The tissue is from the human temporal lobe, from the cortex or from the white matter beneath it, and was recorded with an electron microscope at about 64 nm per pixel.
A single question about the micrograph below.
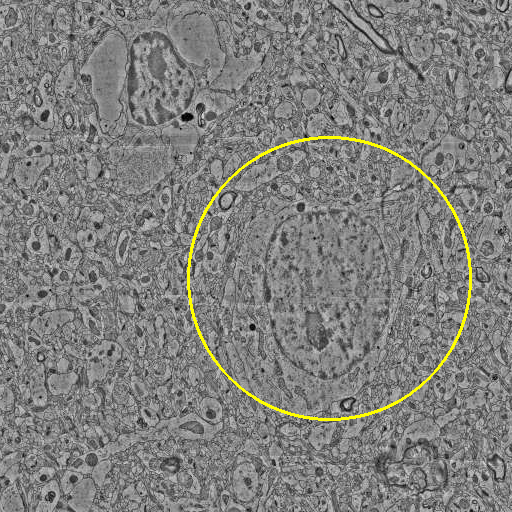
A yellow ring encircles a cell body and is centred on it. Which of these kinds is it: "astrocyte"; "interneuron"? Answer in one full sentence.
The cell body at the centre of the yellow ring belongs to an interneuron.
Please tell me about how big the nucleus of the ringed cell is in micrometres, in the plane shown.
The nucleus has a long axis of about 11 micrometres and a short axis of about 8 micrometres in this plane.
